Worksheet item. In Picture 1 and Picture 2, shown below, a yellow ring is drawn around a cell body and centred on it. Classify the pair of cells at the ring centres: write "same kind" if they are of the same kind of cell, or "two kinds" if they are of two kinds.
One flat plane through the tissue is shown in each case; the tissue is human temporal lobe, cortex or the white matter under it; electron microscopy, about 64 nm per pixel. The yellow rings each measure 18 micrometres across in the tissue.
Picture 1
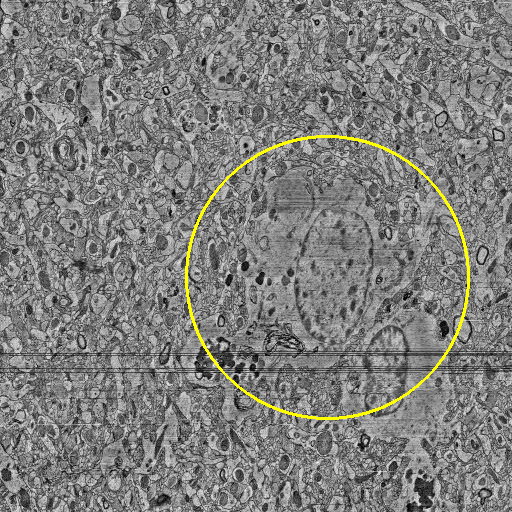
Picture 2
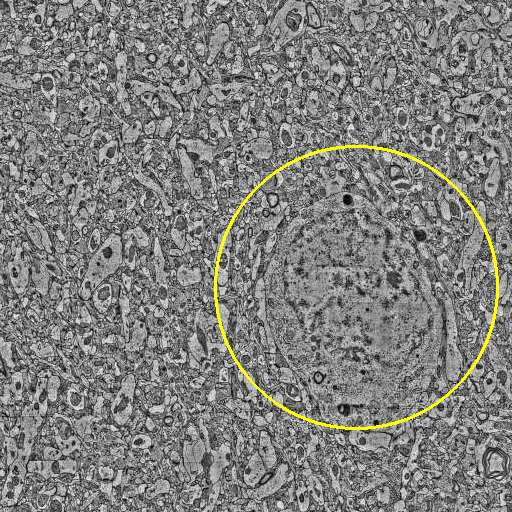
two kinds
